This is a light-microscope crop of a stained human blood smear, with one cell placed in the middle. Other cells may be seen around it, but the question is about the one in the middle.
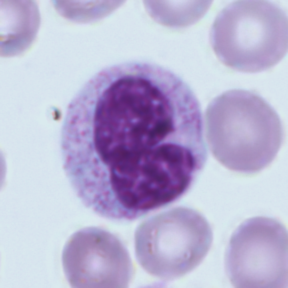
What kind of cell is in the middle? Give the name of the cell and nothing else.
band neutrophil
